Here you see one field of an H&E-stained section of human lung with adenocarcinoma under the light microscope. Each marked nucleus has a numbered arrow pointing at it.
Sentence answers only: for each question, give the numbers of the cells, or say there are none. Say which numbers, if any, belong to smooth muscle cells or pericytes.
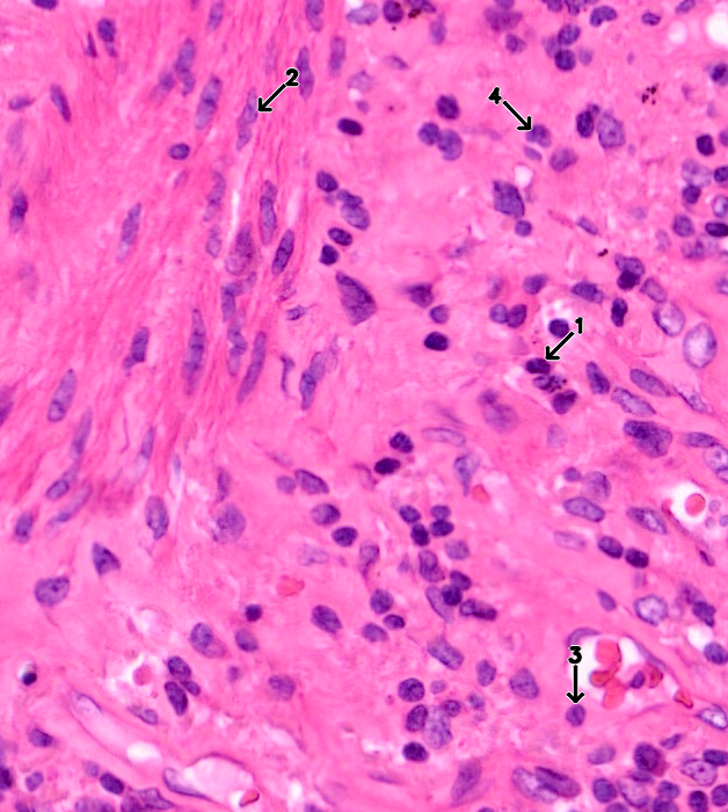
Cell number 2 alone is a smooth muscle cell or pericyte; the rest are not.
